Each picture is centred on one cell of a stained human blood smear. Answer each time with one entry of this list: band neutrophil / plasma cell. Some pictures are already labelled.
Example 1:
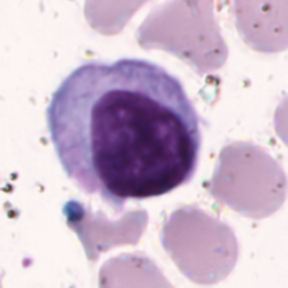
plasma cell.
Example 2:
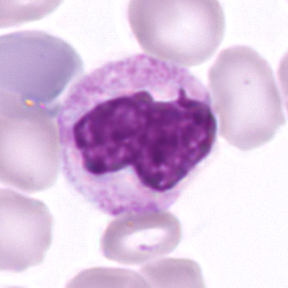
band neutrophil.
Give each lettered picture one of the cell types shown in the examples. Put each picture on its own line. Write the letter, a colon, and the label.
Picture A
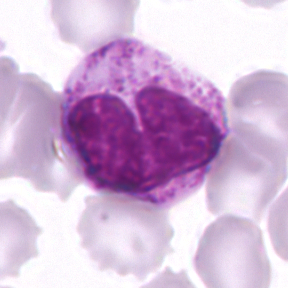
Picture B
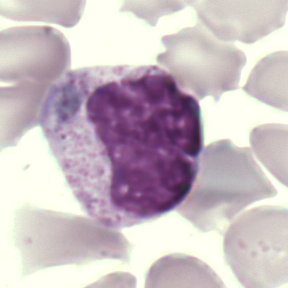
A: band neutrophil.
B: band neutrophil.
